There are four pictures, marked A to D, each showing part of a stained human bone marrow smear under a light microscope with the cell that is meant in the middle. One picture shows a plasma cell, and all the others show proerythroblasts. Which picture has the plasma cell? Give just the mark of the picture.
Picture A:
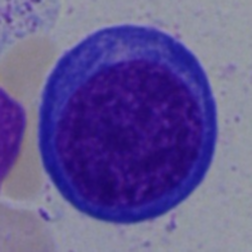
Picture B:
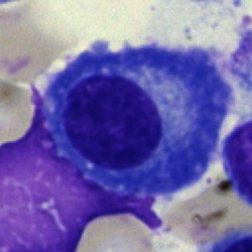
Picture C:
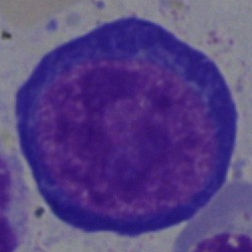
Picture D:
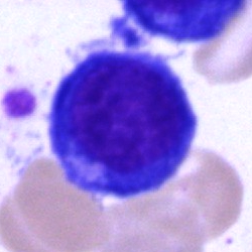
B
